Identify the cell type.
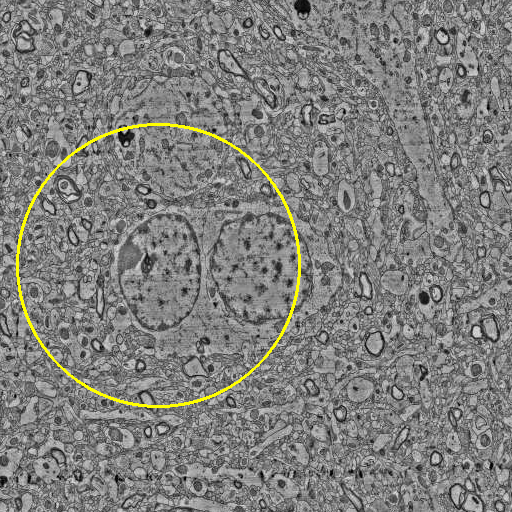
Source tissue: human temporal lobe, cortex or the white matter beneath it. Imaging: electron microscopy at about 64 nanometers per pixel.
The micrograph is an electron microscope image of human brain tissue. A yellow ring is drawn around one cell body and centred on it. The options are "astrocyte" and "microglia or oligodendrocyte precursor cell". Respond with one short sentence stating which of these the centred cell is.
The cell body in the ring belongs to a microglial cell or oligodendrocyte precursor cell.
